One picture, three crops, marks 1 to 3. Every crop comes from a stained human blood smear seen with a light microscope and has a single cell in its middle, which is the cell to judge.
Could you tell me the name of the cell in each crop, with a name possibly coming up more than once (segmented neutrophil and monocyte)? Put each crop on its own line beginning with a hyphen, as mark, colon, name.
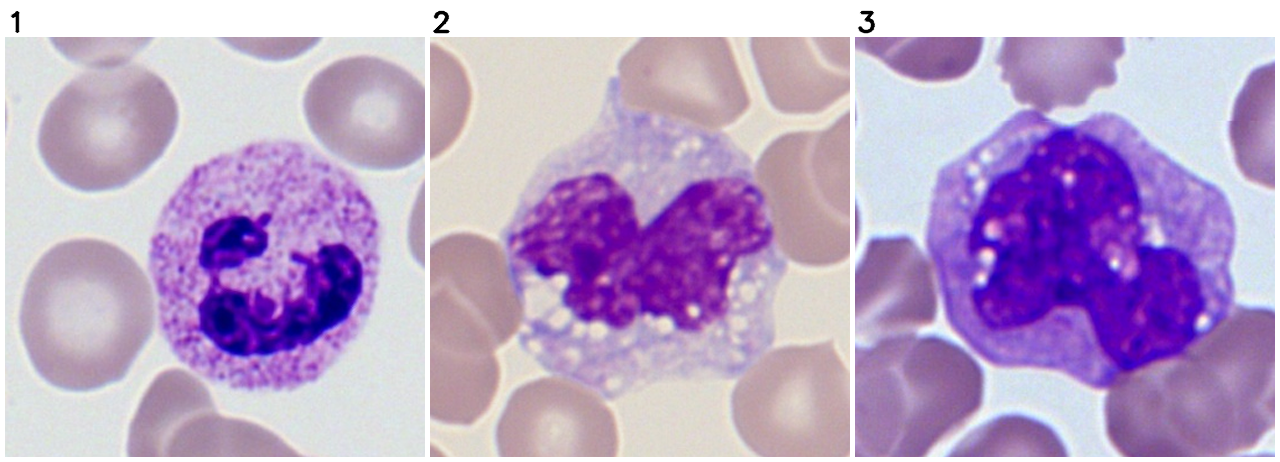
- 1: segmented neutrophil
- 2: monocyte
- 3: monocyte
